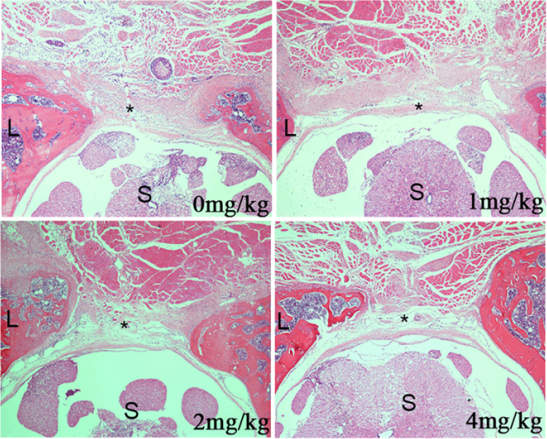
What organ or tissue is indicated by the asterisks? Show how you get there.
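Each asterisk lies in a pale pink, loosely fibrous band. The band spans the gap between the two deep pink bony edges. The band lies above the round cross-section below it.
Hence: Fibrotic tissue.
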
